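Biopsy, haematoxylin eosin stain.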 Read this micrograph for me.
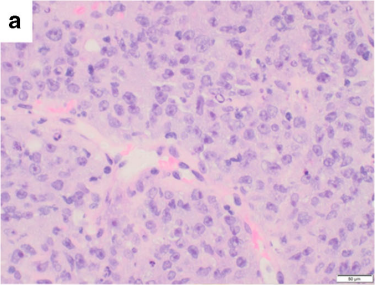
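A dense sheet of large round to oval blastoid tumour cells fills the field, with thin-walled vessels running between them. The nuclei are large, round to oval and pale purple, many with a distinct nucleolus. The cytoplasm is moderate and pink, and the cells lie closely packed without forming glands or other organised structures.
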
